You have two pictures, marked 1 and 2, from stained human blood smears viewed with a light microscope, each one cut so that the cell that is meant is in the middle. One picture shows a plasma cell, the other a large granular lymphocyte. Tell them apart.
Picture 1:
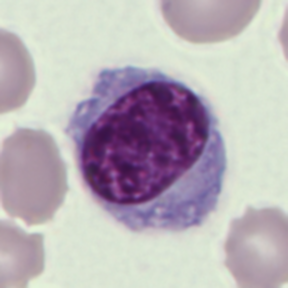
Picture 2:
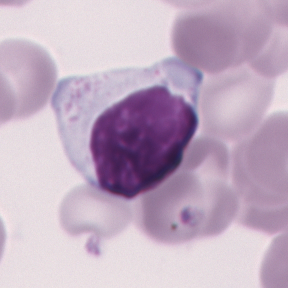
1: plasma cell
2: large granular lymphocyte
